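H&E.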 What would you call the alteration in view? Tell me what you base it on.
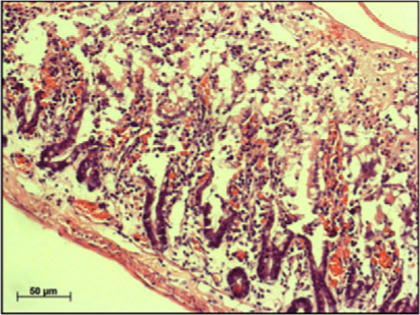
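Necrosis. The villous architecture is lost and the mucosa is disorganised. Loose, pale, fragmented tissue with scattered dispersed cells replaces the normal lamina propria. Red blood cells lie pooled within the damaged tissue.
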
